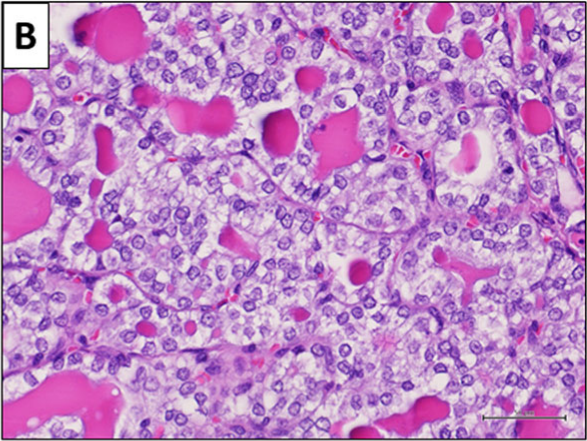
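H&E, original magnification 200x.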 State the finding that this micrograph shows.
Ground-glass nuclei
